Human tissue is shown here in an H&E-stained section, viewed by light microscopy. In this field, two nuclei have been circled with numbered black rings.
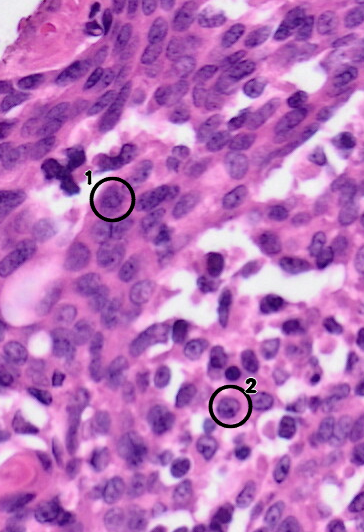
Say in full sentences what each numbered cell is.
Cell 1 is a carcinoma cell and cell 2 is a macrophage or monocyte.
